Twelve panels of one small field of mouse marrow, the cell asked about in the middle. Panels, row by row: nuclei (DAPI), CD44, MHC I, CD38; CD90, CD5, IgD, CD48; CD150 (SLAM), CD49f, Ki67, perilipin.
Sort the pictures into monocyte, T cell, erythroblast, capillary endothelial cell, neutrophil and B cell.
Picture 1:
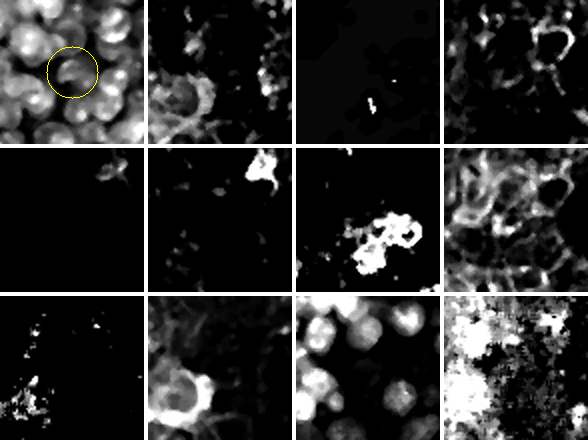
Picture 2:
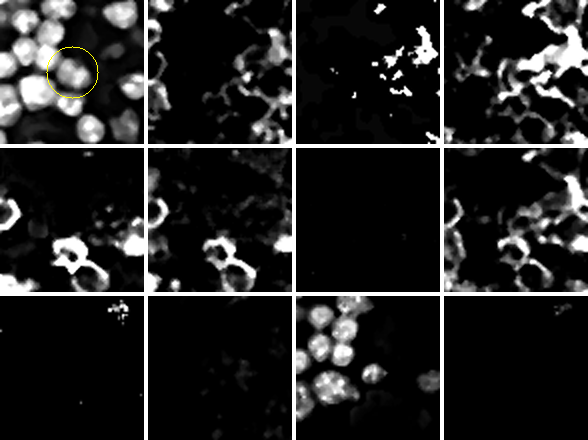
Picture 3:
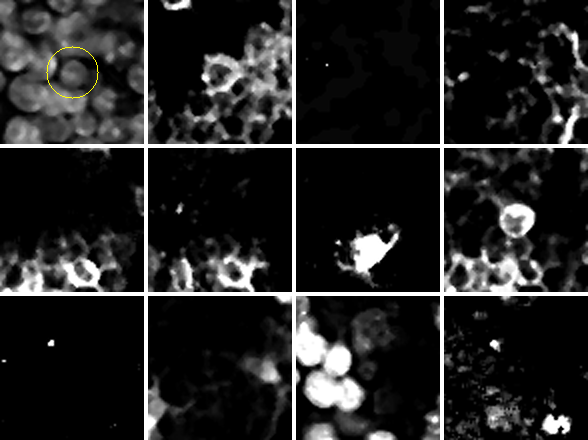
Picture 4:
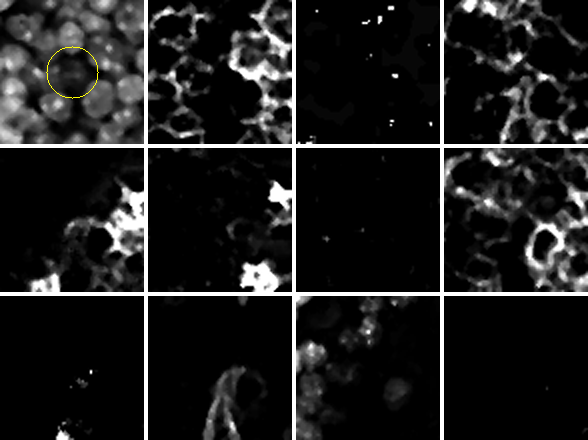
B cells: 1
Erythroblasts: 2
Monocytes: 3
Capillary endothelial cells: 4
